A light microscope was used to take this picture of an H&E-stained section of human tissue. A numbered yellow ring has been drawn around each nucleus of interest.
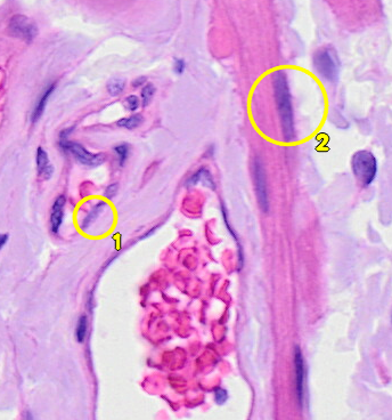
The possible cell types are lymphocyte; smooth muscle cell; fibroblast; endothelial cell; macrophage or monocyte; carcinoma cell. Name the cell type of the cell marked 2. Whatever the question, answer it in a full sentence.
Among the marked cells, number 2 is a smooth muscle cell.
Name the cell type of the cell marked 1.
The cell that goes by number 1 is an endothelial cell.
